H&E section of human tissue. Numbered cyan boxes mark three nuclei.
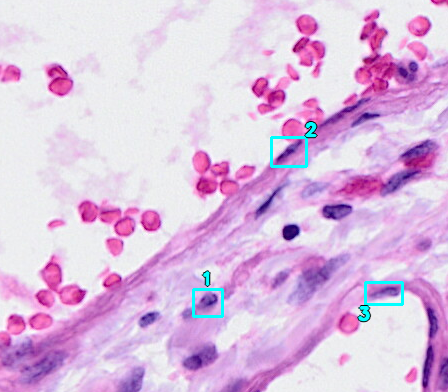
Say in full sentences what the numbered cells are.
Cell 1 is a lymphocyte, cell 2 is an endothelial cell and cell 3 is an endothelial cell.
